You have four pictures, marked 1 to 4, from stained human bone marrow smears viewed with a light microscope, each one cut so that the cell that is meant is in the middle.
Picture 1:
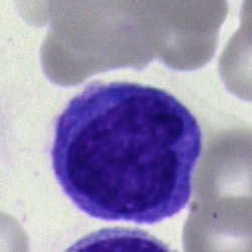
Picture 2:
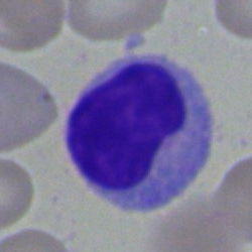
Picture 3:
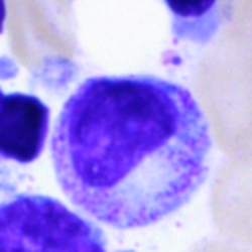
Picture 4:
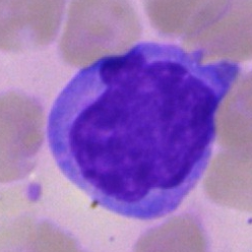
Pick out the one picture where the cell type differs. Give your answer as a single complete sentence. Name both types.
All pictures except 3 show monocytes; picture 3 shows a myelocyte.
